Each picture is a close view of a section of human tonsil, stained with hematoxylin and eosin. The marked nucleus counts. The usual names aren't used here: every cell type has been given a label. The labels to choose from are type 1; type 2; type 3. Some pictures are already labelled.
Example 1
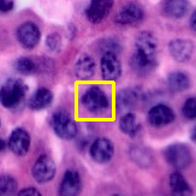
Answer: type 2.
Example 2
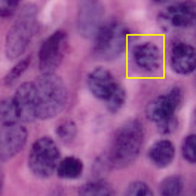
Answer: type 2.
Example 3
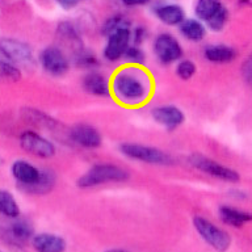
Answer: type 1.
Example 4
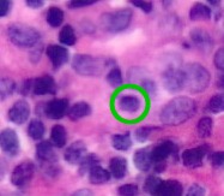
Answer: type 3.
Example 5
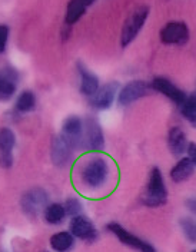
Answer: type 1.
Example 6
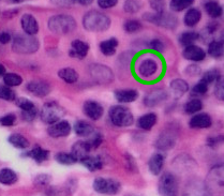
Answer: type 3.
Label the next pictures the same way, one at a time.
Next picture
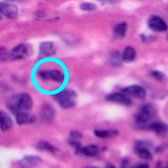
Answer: type 1.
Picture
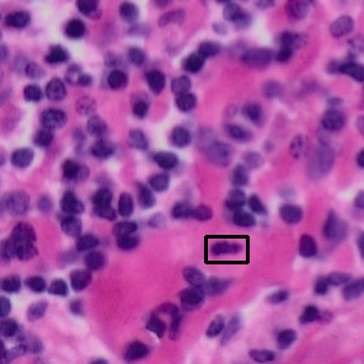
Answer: type 1.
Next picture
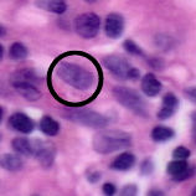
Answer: type 3.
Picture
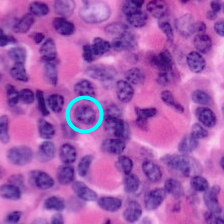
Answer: type 2.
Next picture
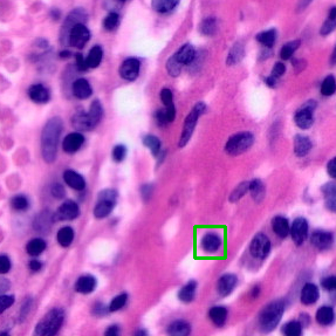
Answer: type 1.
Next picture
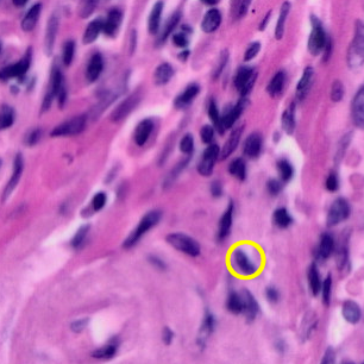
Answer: type 1.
